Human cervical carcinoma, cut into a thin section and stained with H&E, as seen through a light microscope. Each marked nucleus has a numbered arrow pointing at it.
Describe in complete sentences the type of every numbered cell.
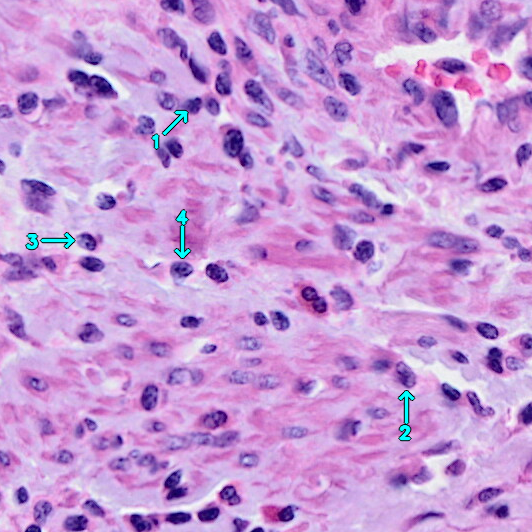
Cell 1 is a lymphocyte, cell 2 is a macrophage or monocyte, cell 3 is a lymphocyte and cell 4 is a lymphocyte.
